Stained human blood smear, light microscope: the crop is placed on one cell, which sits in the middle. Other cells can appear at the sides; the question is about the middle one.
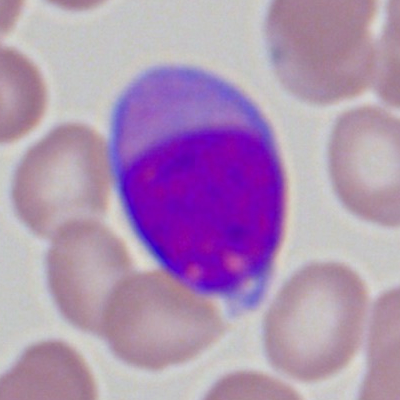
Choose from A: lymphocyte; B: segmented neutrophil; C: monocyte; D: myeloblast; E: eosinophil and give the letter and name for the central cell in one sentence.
The cell positioned centrally is a myeloblast, as given in option D, which is correct.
